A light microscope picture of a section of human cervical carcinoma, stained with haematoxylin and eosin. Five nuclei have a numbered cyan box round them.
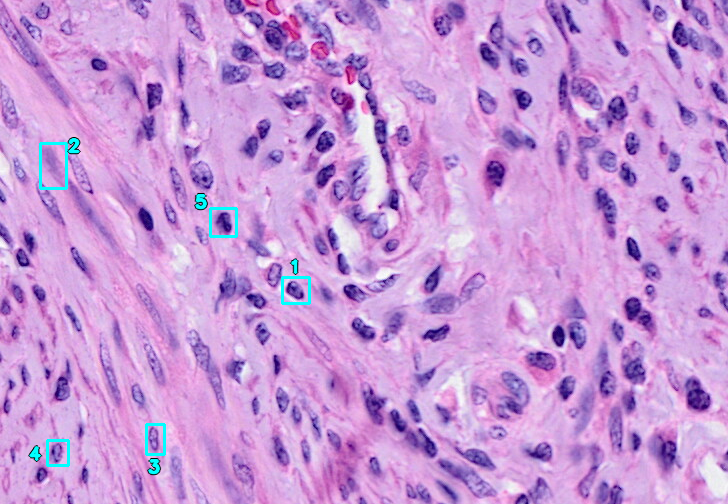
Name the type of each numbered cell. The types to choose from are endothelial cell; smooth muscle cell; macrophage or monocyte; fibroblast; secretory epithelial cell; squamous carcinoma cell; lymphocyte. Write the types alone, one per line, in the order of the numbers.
lymphocyte
smooth muscle cell
smooth muscle cell
smooth muscle cell
lymphocyte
